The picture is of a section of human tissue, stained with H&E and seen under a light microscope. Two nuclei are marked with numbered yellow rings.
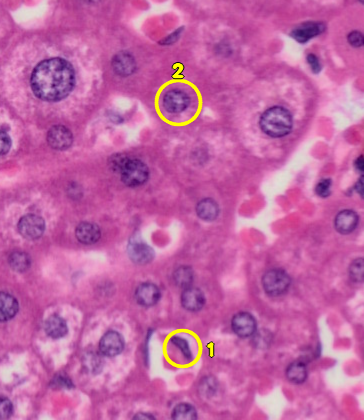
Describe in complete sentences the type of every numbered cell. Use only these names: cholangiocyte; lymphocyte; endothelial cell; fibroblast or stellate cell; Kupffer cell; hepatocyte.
Cell 1 is a Kupffer cell. Cell 2 is a hepatocyte.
